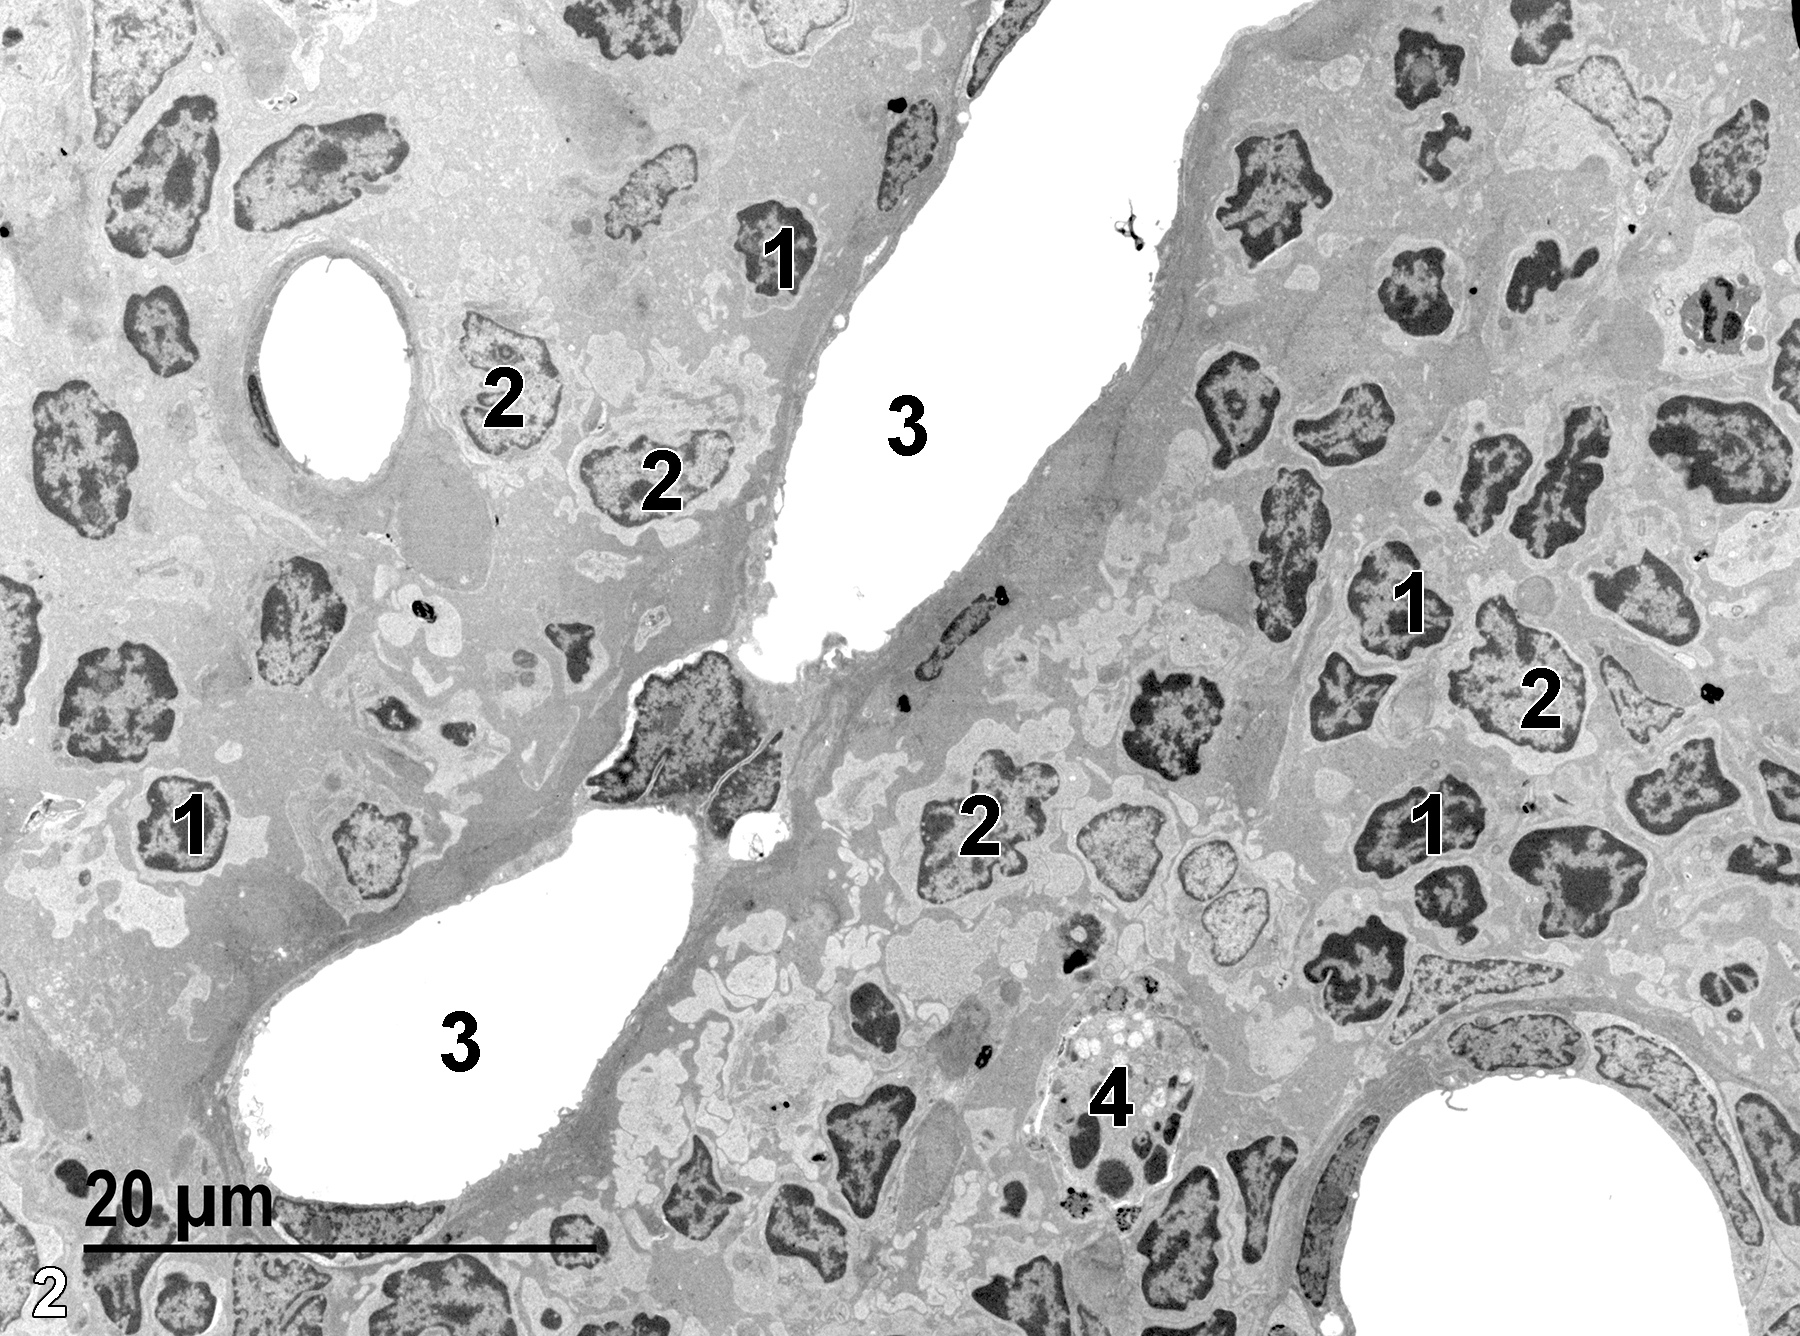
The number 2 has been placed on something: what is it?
nuclei of reticular epithelial cells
